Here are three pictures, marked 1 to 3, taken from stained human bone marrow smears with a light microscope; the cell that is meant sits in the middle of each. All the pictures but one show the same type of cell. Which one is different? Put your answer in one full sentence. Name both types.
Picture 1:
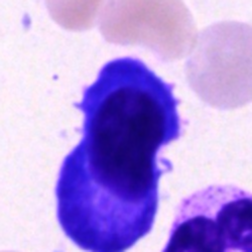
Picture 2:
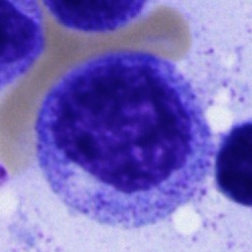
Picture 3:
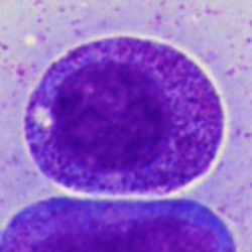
The different one is picture 1; it shows a plasma cell, whereas all the others show promyelocytes.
